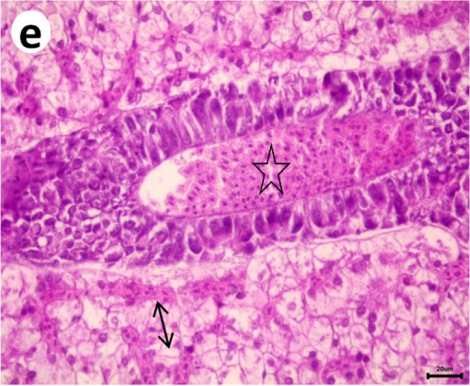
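Liver tissue in which an elongated vessel runs horizontally through the centre, its lumen filled with pink blood cells. The vessel is ringed by a thick band of tall, deeply purple-staining cells arranged radially, with dark nuclei and dense cytoplasm, forming hepatopancreatic tissue that stands out sharply from its surroundings. Outside this band the hepatocytes are pale and vacuolated, with small dark nuclei and delicate pink cell borders. Below the vessel a narrow channel between hepatocyte cords is filled with blood.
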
